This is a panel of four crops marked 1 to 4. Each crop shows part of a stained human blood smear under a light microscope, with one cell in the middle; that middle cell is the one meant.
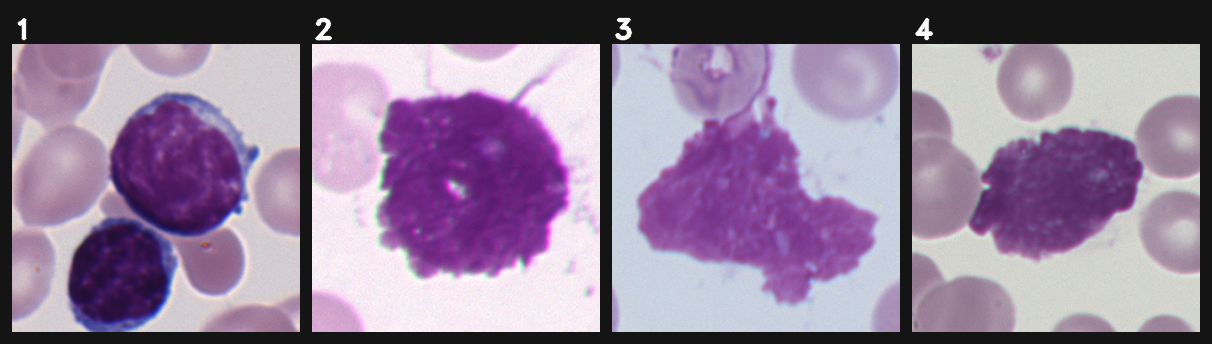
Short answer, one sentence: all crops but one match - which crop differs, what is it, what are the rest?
Crop 1 is a typical lymphocyte, while the rest of the set consists of smudge cells.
